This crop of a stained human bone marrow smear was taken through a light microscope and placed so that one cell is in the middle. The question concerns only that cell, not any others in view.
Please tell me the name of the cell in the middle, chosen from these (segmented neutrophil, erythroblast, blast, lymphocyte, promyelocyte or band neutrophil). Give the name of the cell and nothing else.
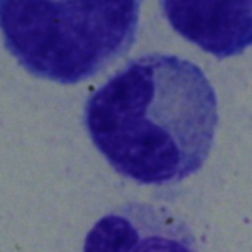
band neutrophil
